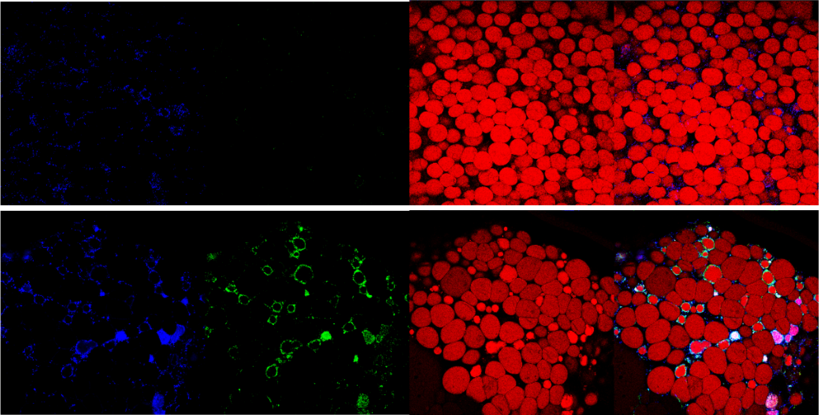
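Adipocytes appear as large, rounded red profiles packed tightly against one another, with only thin dark seams between them. Small blue nuclei lie scattered in these seams at the edges of the adipocytes. In the upper row the green channel is nearly empty, and the adipocytes are fairly uniform in size. In the lower row the adipocytes vary more in size, with clusters of small red profiles among large ones, and green rings outline a number of these small profiles, where dense blue nuclei also gather.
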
